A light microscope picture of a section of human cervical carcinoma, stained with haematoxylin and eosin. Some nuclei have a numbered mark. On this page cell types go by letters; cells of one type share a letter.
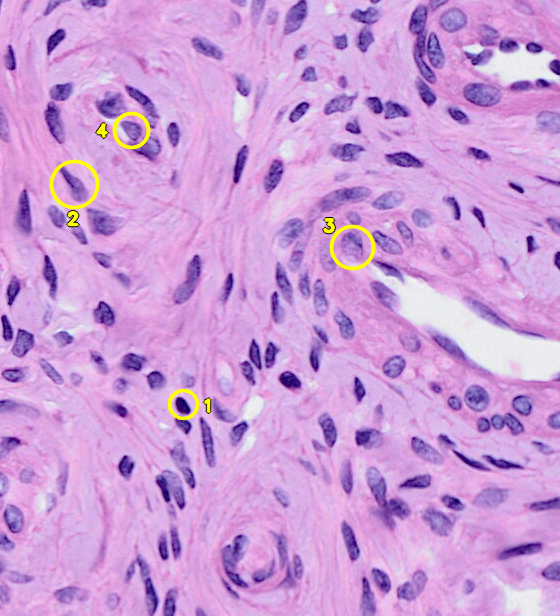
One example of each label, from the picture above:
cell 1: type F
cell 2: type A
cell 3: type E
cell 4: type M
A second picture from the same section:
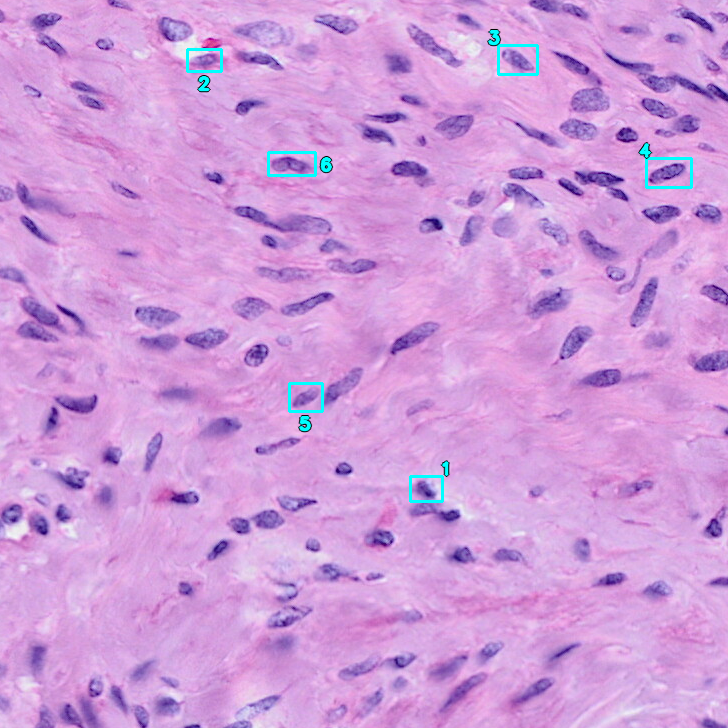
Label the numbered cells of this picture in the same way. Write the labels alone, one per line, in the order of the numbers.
type A
type M
type A
type A
type A
type E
